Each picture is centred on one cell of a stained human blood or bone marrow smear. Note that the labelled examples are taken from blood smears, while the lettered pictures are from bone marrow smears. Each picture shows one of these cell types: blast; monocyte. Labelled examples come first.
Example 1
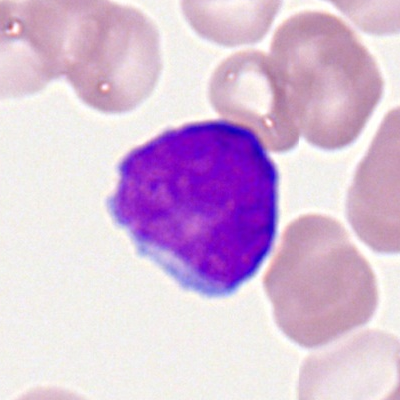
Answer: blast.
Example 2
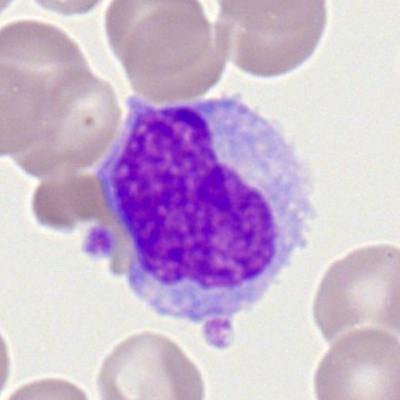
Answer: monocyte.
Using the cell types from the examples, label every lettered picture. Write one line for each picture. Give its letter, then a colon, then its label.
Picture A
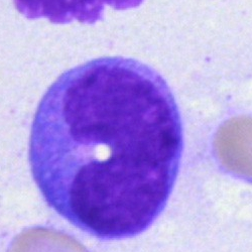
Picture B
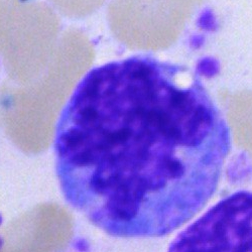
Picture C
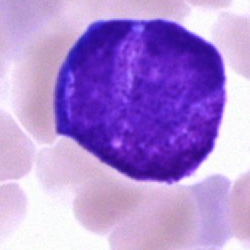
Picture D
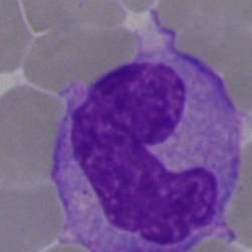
A: monocyte.
B: monocyte.
C: blast.
D: monocyte.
